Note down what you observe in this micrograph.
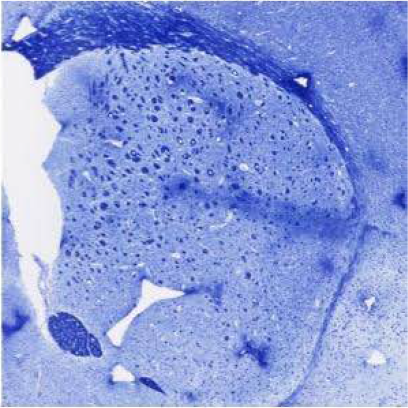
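Brain tissue in which myelinated fiber tracts stand out in dark blue against a paler blue background. A broad arched band of densely stained fibers runs along the top and down one side of a large rounded region. That region is studded with many small, round to oval fiber bundles cut in cross section, giving a dotted appearance. Clear cleft-like spaces lie near the left margin and within the tissue.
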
